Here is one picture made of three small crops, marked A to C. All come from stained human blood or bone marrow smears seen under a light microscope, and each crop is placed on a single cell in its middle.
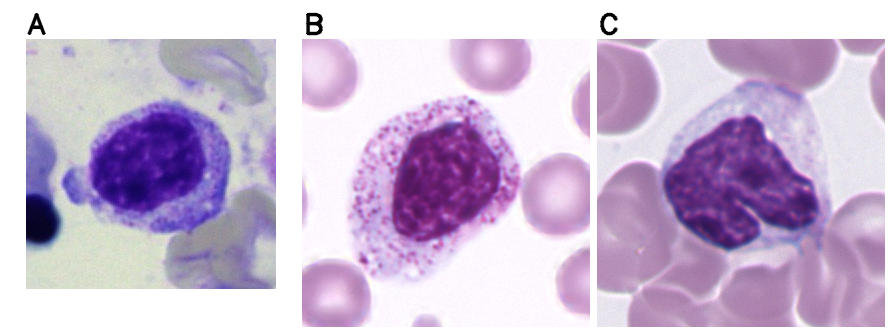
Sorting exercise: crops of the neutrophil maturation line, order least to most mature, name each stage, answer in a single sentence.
From least to most mature, the crops are ordered crop A (a myelocyte), crop B (a metamyelocyte) and crop C (a band neutrophil).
